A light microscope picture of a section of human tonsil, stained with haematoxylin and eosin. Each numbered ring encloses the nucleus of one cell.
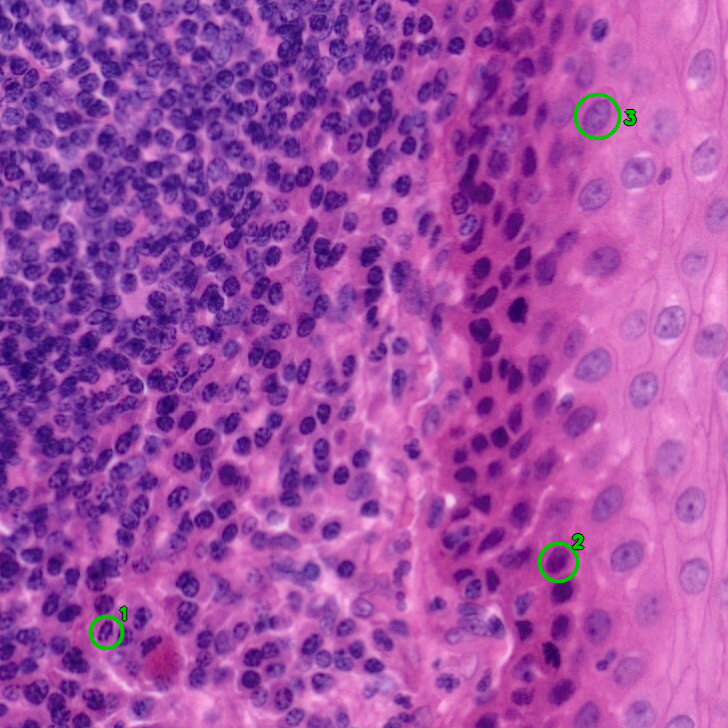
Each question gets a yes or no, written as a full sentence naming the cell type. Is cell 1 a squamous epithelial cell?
No, it is a plasma cell, not a squamous epithelial cell, at number 1.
